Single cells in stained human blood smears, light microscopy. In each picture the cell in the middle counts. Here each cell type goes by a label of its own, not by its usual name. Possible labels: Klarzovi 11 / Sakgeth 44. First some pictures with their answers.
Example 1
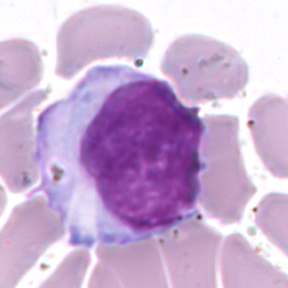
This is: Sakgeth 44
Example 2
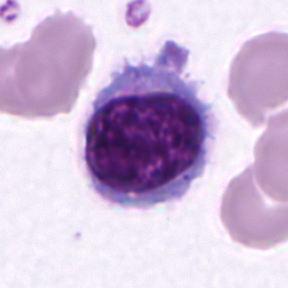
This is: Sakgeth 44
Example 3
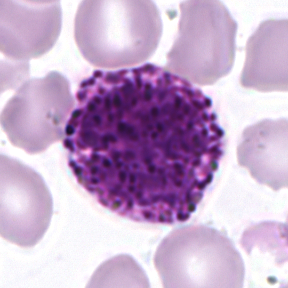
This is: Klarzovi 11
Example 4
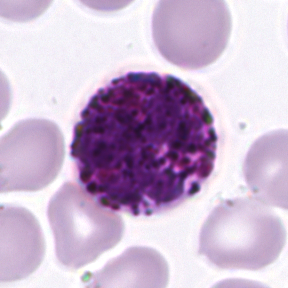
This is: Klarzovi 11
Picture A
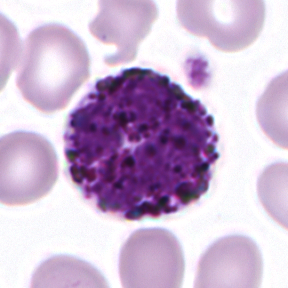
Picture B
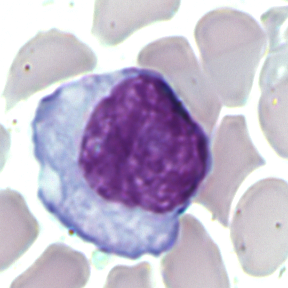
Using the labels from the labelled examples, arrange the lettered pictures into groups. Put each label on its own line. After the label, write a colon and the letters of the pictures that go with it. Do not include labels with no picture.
Klarzovi 11: A
Sakgeth 44: B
